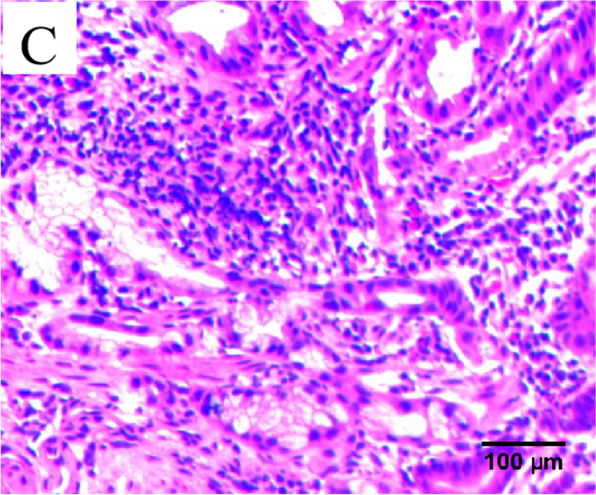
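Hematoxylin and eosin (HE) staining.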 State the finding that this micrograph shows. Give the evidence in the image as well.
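Gland-like tubules with open lumens are scattered through the tissue. The tubules vary in shape and size and run in irregular directions. The tubules are set in a densely cellular stroma.
Conclusion: glands with an irregular tubular structure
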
